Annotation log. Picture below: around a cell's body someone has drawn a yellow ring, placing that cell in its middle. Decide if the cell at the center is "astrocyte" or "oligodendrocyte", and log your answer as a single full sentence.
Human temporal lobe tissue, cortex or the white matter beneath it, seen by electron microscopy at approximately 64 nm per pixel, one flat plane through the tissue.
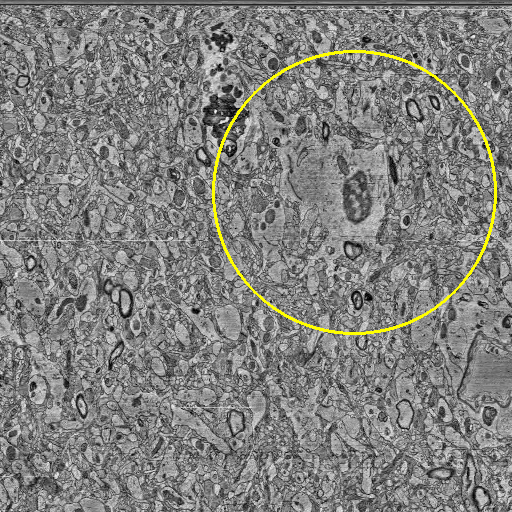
My entry records an astrocyte as the cell sitting at the center of the yellow ring.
